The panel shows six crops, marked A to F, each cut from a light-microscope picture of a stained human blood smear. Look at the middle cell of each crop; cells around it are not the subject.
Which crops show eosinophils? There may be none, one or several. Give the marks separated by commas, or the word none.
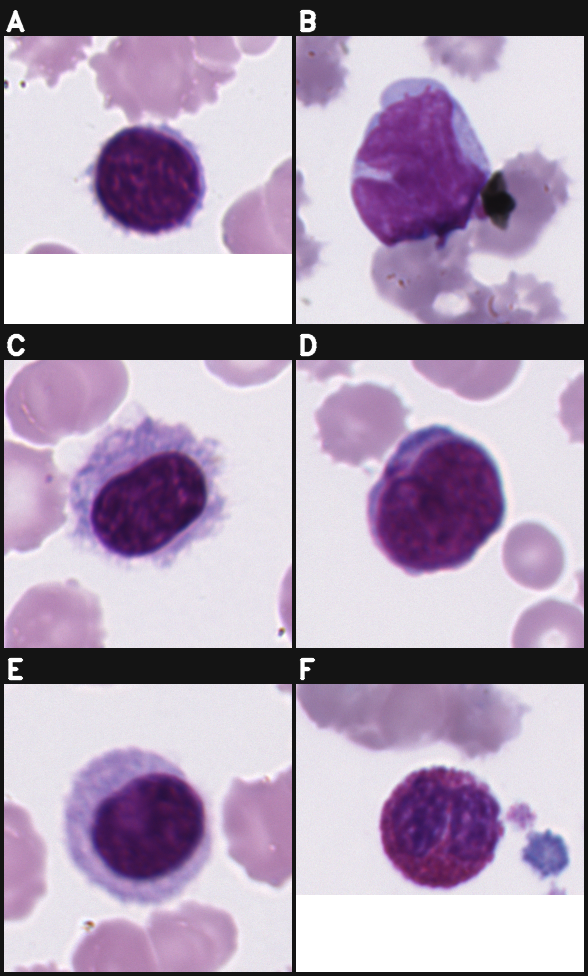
F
